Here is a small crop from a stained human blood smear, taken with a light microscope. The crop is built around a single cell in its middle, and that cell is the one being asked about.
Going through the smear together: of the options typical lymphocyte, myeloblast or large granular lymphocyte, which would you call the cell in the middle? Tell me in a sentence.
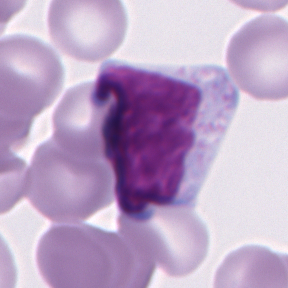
As for the central cell, it is a large granular lymphocyte.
